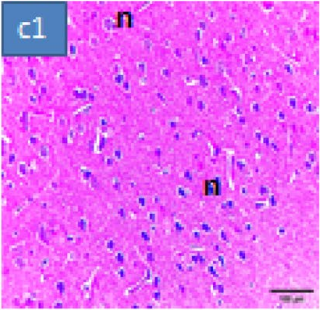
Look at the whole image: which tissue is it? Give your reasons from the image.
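Cerebral cortex. Scattered neurons with dark nuclei lie in a pink, fine-textured neuropil. Small vessels run through the tissue.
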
